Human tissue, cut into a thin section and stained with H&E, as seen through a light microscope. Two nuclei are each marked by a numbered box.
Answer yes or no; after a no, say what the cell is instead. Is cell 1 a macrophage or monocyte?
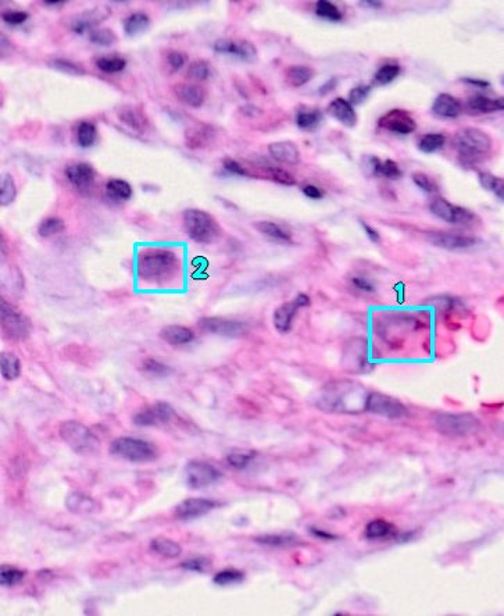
No, it is an endothelial cell.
